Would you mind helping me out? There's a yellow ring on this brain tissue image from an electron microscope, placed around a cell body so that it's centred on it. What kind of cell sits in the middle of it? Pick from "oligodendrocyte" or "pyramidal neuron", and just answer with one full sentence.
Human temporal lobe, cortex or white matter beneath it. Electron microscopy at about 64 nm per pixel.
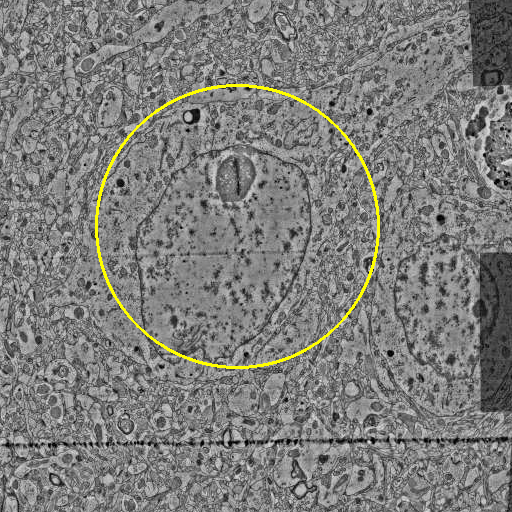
What sits in the middle of that yellow ring is a pyramidal neuron, from your choices.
